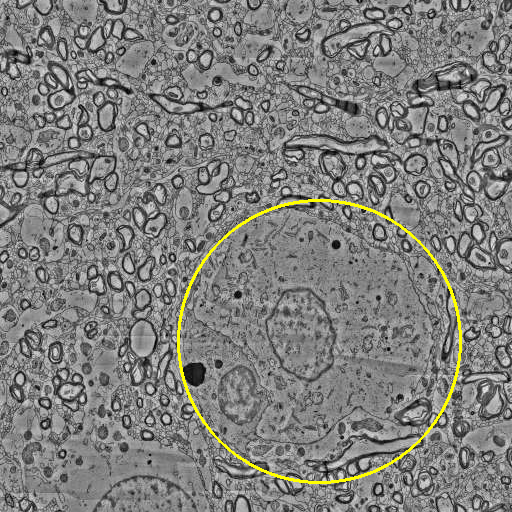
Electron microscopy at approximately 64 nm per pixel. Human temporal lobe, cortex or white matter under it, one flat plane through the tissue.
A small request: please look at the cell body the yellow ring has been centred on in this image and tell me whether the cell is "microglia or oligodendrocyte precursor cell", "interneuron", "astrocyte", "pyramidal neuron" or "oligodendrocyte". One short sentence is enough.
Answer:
The cell marked by the ring is a pyramidal neuron.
